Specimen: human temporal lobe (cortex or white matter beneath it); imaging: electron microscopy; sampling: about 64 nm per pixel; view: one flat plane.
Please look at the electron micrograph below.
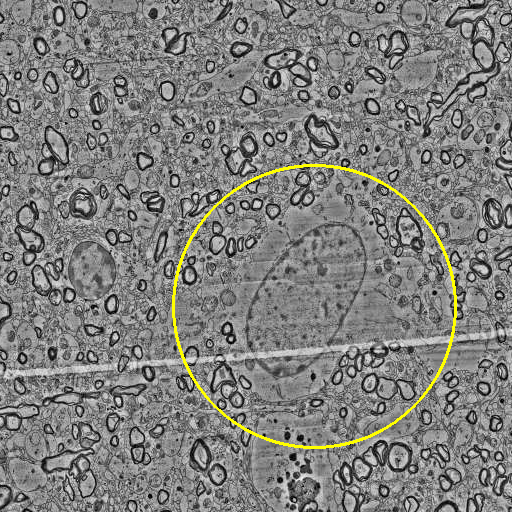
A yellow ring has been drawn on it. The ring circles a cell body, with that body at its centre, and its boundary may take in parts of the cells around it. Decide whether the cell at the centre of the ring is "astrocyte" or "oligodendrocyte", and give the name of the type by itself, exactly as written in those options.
astrocyte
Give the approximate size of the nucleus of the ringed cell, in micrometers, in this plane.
The ringed cell's nucleus is roughly 11 by 6 micrometres and clearly longer than it is wide in this plane.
